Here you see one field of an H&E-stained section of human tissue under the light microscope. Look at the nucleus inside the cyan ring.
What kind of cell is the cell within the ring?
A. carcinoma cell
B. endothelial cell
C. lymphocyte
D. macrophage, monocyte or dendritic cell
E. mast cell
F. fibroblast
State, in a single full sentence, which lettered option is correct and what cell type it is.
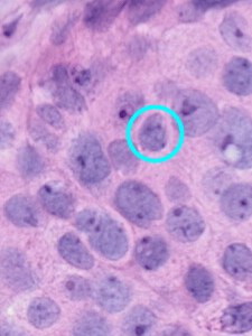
Option A is the one that fits, as the cell within the ring is a carcinoma cell.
